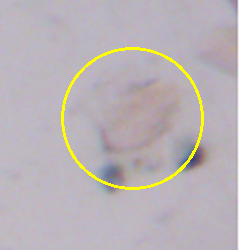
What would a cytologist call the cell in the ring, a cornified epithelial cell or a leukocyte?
A cytologist would call it a cornified epithelial cell.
